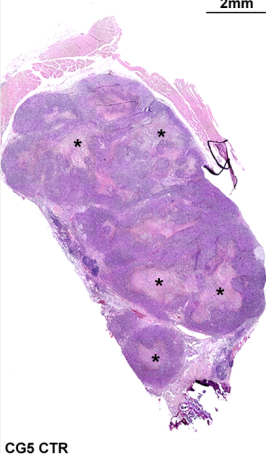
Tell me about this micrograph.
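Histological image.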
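This low-power section shows a tumor mass built of several rounded lobes of densely packed, deeply purple-staining tissue. Within many lobes lie central patches of light pink, eosinophilic material that lacks the dense purple nuclear staining, marking necrotic areas. Each pale patch is ringed by a band of purple, cell-rich viable tumor tissue. The lobes abut one another, and paler pink tissue lies along parts of the outer margin of the mass.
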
